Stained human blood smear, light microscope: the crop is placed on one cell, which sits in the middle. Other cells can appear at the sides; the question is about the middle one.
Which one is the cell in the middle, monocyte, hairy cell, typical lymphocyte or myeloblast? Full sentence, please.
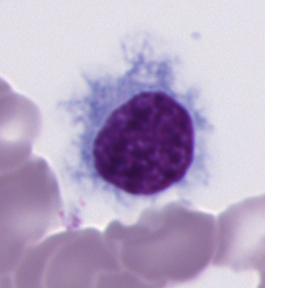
Here the centrally located cell is a hairy cell.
